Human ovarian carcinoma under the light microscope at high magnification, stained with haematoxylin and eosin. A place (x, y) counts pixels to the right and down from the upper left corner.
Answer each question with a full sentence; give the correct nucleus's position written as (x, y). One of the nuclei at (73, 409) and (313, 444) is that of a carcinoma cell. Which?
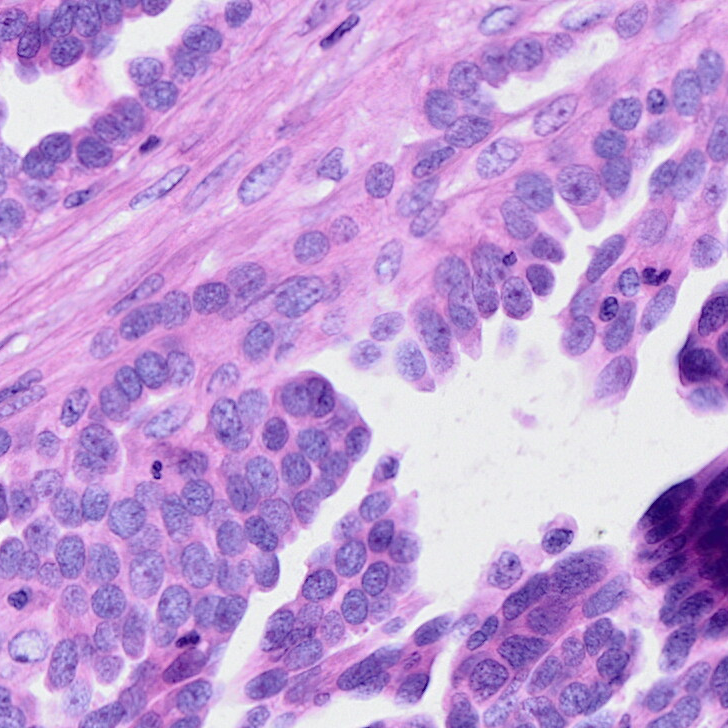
Identify the nucleus at (313, 444) as the one belonging to a carcinoma cell.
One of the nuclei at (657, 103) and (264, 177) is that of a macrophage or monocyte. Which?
The nucleus positioned at (657, 103) forms part of a macrophage or monocyte.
